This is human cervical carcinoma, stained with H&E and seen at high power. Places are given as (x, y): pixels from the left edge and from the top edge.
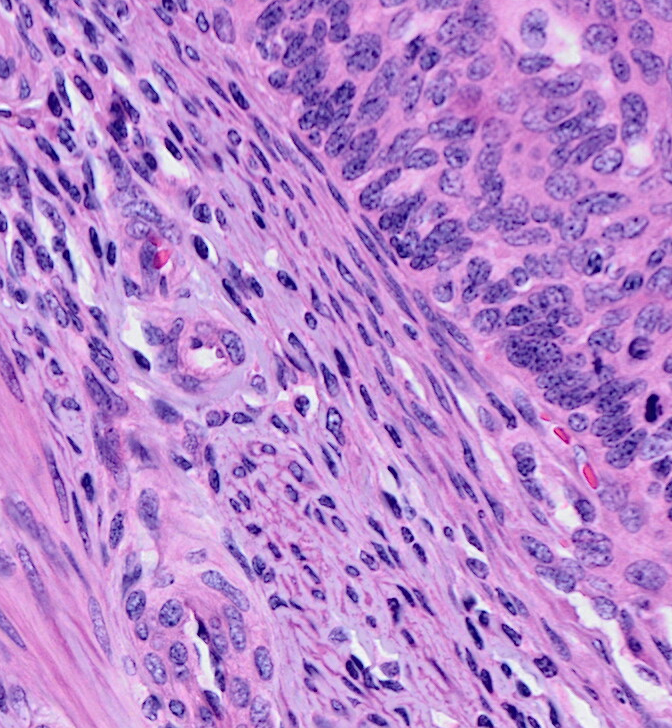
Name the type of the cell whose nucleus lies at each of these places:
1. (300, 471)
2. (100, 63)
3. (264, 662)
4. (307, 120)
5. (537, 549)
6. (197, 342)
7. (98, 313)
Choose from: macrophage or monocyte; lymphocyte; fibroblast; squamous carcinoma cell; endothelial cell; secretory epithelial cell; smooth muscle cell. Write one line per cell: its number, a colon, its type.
1: smooth muscle cell
2: lymphocyte
3: smooth muscle cell
4: squamous carcinoma cell
5: endothelial cell
6: endothelial cell
7: lymphocyte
